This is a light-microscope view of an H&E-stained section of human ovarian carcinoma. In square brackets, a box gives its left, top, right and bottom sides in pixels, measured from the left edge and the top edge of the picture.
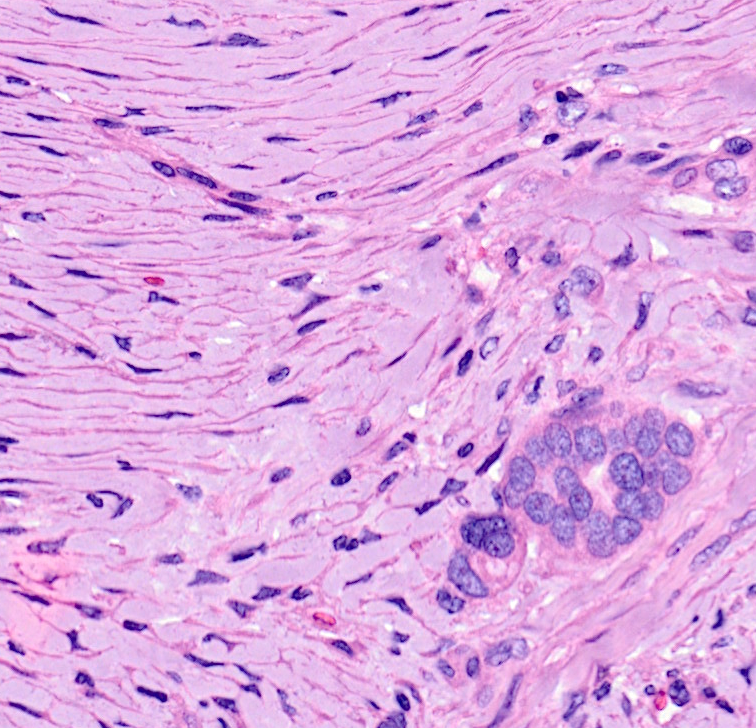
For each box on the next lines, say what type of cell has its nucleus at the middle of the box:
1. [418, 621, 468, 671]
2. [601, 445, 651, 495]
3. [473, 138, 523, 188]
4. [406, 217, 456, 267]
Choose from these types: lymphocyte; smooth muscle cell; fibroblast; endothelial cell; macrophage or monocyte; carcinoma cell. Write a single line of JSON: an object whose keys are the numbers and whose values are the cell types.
{"1": "fibroblast", "2": "carcinoma cell", "3": "fibroblast", "4": "fibroblast"}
